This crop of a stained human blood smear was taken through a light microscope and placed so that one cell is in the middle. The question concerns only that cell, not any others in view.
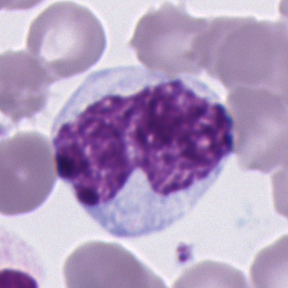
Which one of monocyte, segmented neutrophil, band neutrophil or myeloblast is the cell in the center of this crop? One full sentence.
The centrally placed cell is classified as a monocyte.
